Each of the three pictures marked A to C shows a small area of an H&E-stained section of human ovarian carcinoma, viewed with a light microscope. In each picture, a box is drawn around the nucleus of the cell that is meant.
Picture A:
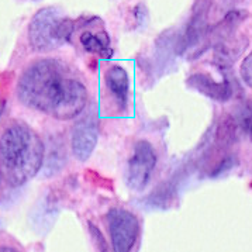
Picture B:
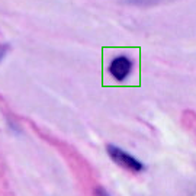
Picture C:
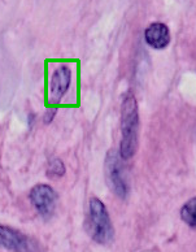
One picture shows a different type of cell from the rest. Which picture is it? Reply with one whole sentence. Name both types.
Unlike the rest, which show “macrophages or monocytes”, picture B shows a lymphocyte.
